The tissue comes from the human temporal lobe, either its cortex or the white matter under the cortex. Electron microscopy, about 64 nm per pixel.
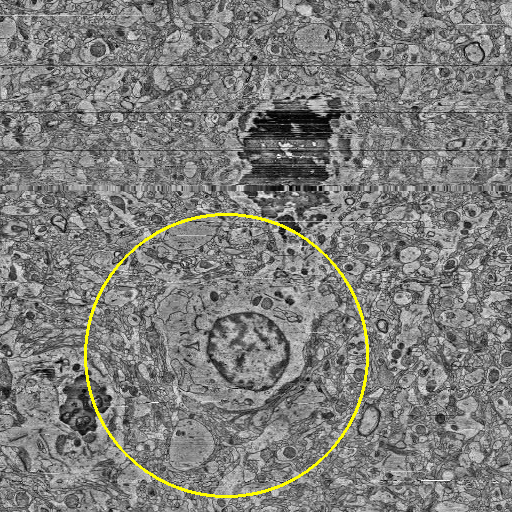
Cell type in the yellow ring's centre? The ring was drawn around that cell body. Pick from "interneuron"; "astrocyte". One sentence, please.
The ringed cell body is that of an astrocyte.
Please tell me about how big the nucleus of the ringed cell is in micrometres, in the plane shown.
The nucleus of the ringed cell is approximately 5 micrometres across in this plane.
